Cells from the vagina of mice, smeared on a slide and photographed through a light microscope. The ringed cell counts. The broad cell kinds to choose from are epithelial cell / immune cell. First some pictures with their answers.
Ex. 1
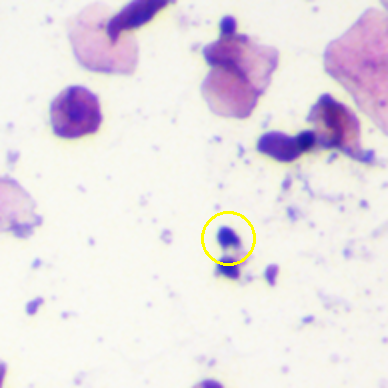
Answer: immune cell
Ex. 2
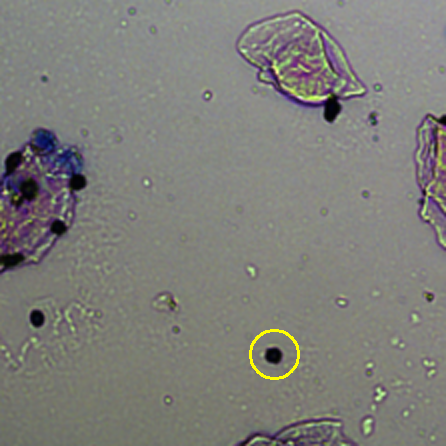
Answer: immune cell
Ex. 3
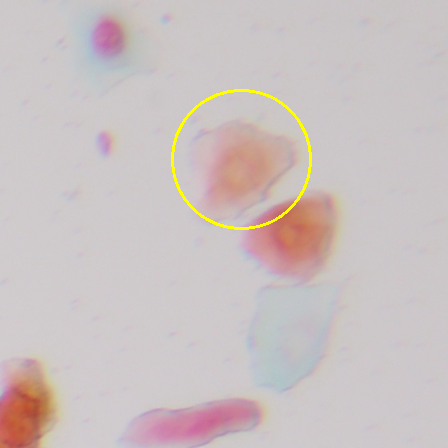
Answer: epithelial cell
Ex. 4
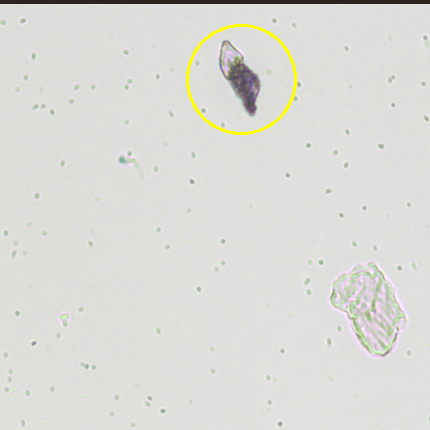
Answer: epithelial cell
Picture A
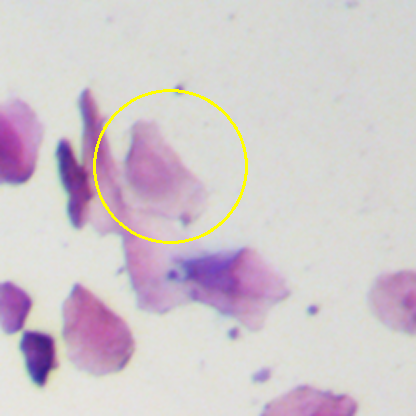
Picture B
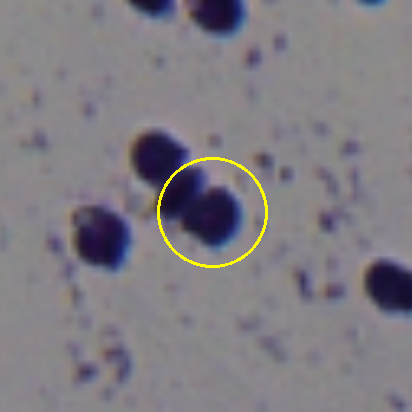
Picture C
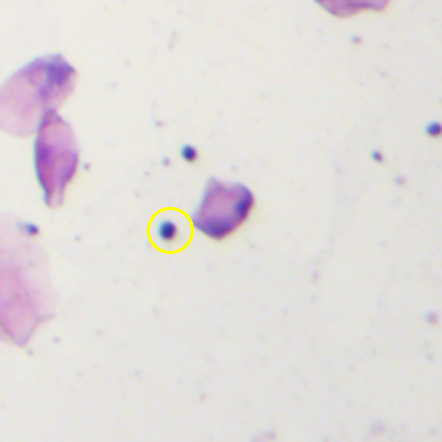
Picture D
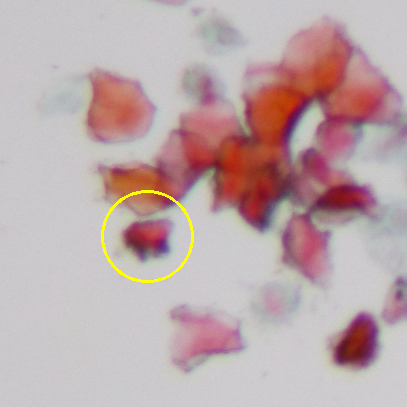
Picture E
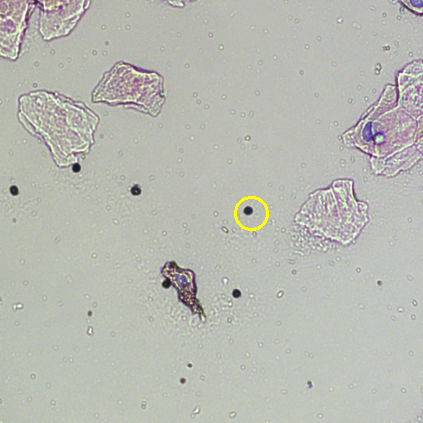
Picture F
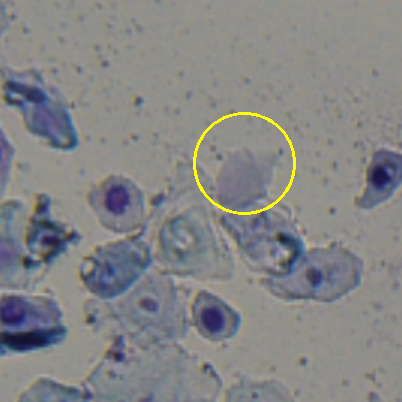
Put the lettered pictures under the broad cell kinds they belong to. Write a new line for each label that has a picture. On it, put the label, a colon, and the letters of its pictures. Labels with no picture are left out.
epithelial cell: A, D, F
immune cell: B, C, E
